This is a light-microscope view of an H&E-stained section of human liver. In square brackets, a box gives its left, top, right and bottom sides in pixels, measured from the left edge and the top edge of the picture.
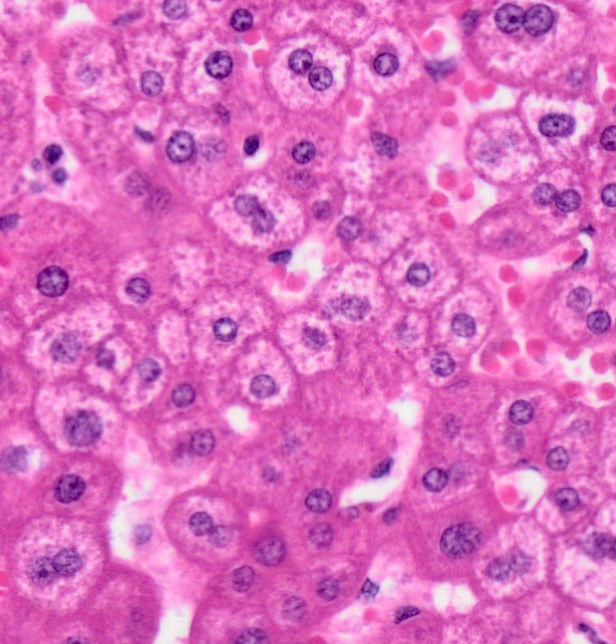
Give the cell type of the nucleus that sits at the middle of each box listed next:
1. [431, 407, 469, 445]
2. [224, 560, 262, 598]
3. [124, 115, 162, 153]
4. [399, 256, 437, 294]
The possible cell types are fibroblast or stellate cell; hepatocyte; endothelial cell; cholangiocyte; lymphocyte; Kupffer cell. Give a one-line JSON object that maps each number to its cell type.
{"1": "hepatocyte", "2": "hepatocyte", "3": "endothelial cell", "4": "hepatocyte"}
